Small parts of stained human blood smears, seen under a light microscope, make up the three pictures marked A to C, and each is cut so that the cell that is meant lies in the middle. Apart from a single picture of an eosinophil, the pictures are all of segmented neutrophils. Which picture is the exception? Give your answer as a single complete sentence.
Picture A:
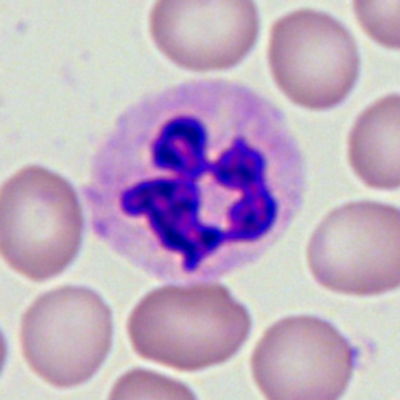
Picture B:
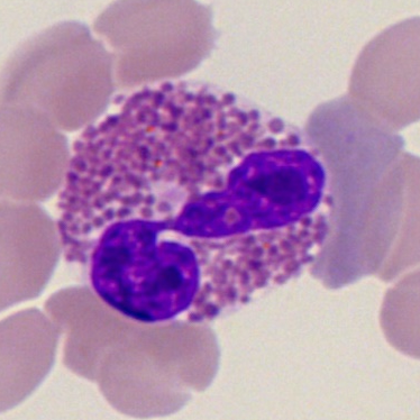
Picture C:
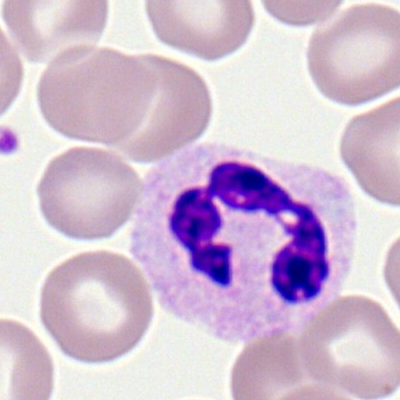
The eosinophil is the one in picture B.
